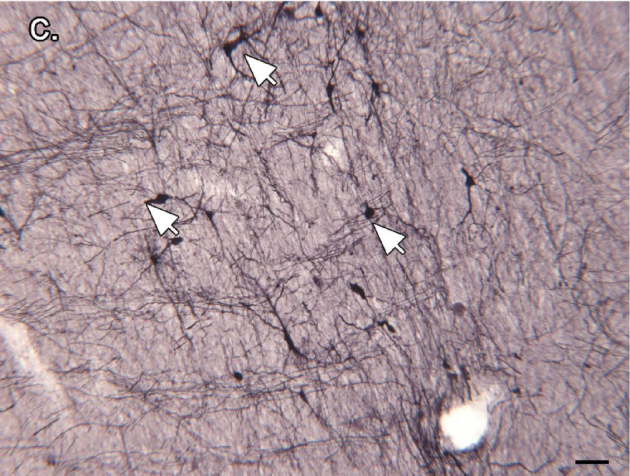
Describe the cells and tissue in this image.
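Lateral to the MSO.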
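This is brainstem tissue with dark-stained neurons scattered singly rather than grouped. A dense network of fine dark fibres crosses the pale grey background in many directions. A round pale hole of a blood vessel lies near the lower edge.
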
